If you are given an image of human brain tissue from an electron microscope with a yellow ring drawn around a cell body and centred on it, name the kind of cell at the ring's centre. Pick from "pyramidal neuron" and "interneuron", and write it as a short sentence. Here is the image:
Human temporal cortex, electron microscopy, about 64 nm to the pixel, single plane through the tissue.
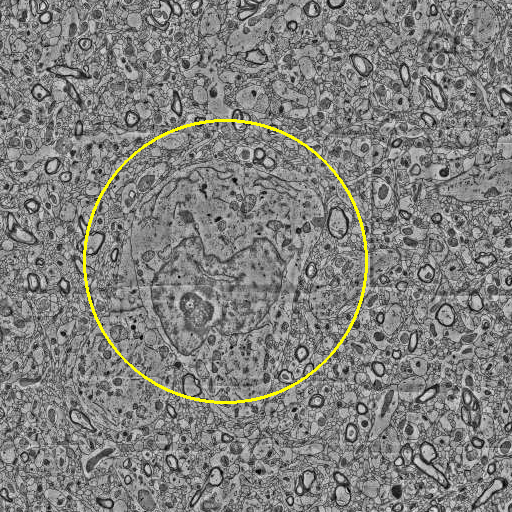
The cell at the ring's centre is a pyramidal neuron.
